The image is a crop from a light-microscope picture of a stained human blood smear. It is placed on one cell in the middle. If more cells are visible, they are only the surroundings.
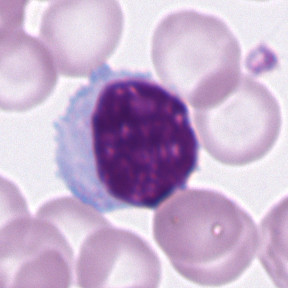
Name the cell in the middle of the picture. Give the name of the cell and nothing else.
lymphocyte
